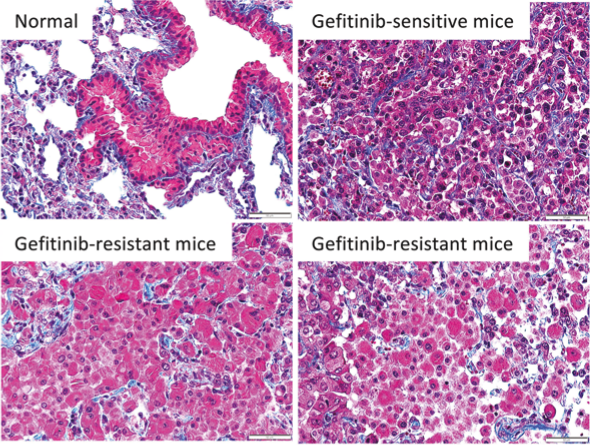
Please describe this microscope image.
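Lung tissue in trichrome stain, four fields in a grid. The upper-left field shows open air spaces with thin septa and an airway lined by a continuous layer of columnar epithelium with strongly red-pink cytoplasm; thin blue strands lie beneath it. The other three fields are solid, with the air spaces filled by crowded sheets of cells with dark nuclei. In the two lower fields many of these cells are large and rounded, with abundant pink to red cytoplasm. Fine blue strands run between cells and cell groups, and in places form thicker streaks.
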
